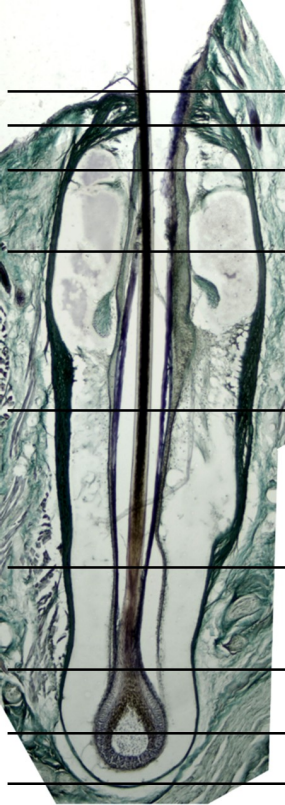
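This is a whisker follicle cut lengthwise, with the vibrissa running as a continuous dark vertical line down the middle of the section. The follicle forms an elongated capsule bounded by a dark wall, and this wall is thin near the top, thicker along the middle and thin again around the deep end. Inside the capsule, broad pale areas nearly free of tissue lie on either side of the shaft. At the deep end the shaft widens into a rounded bulb with a pale center and a darker rim. Greenish-stained fibrous connective tissue surrounds the follicle on both sides.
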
